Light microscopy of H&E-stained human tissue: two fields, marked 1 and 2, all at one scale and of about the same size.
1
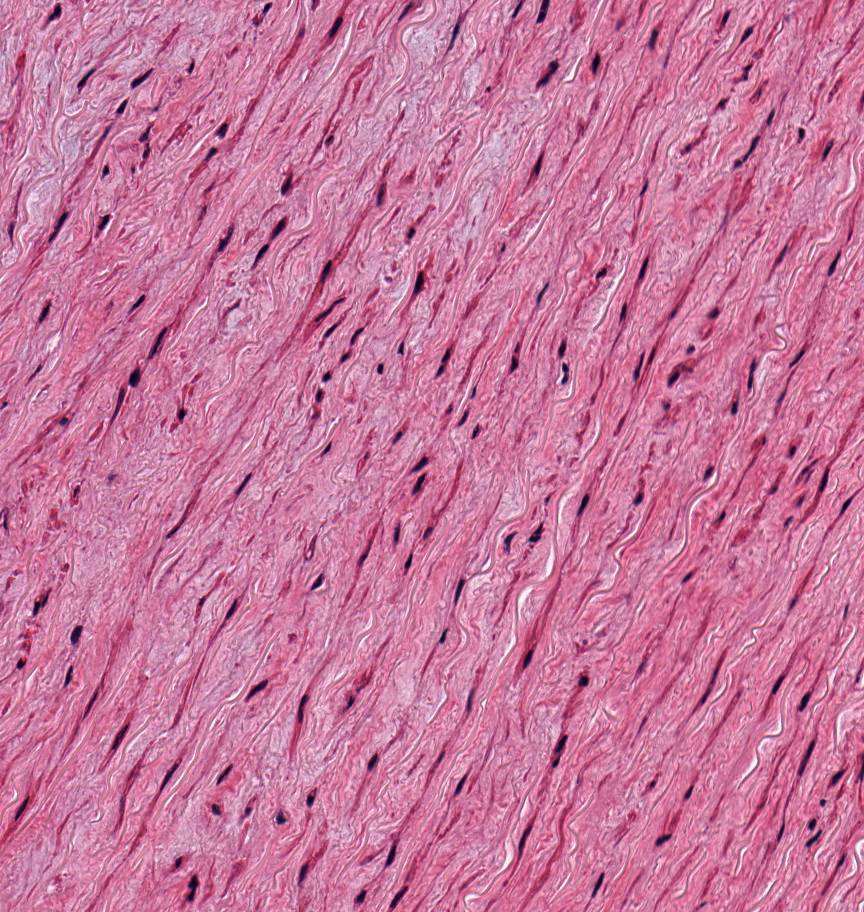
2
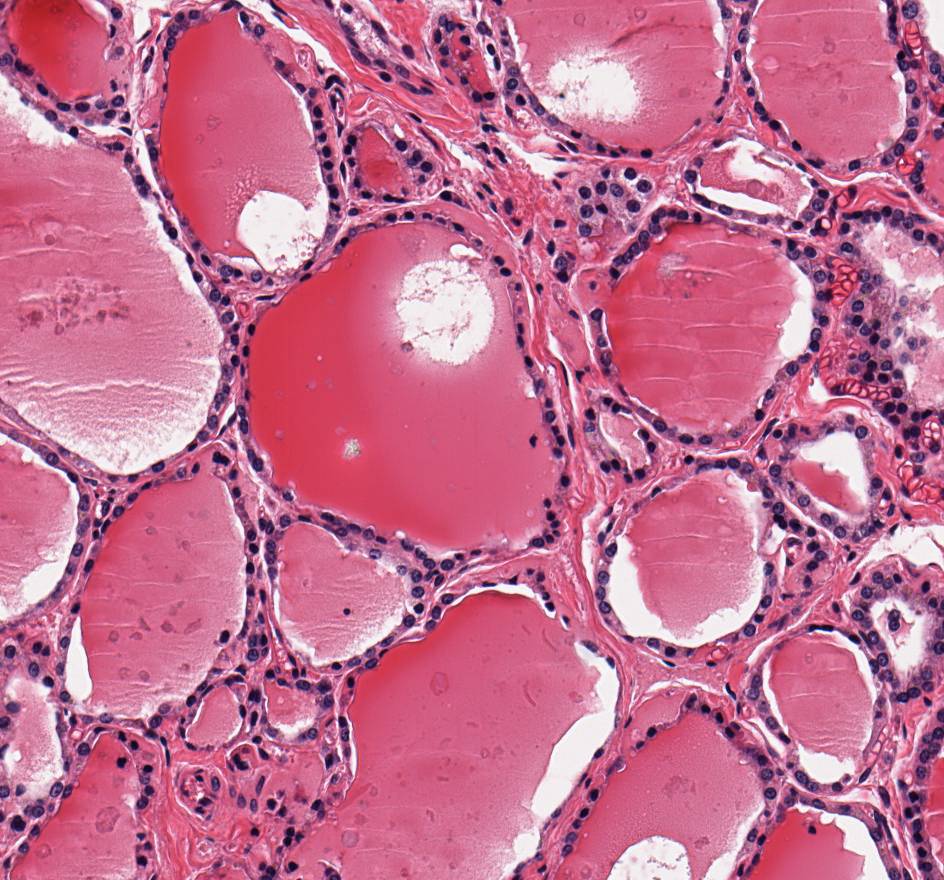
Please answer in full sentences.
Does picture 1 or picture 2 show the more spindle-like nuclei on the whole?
The nuclei are more elongated in picture 1.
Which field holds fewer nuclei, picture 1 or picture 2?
There are fewer nuclei in picture 1.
